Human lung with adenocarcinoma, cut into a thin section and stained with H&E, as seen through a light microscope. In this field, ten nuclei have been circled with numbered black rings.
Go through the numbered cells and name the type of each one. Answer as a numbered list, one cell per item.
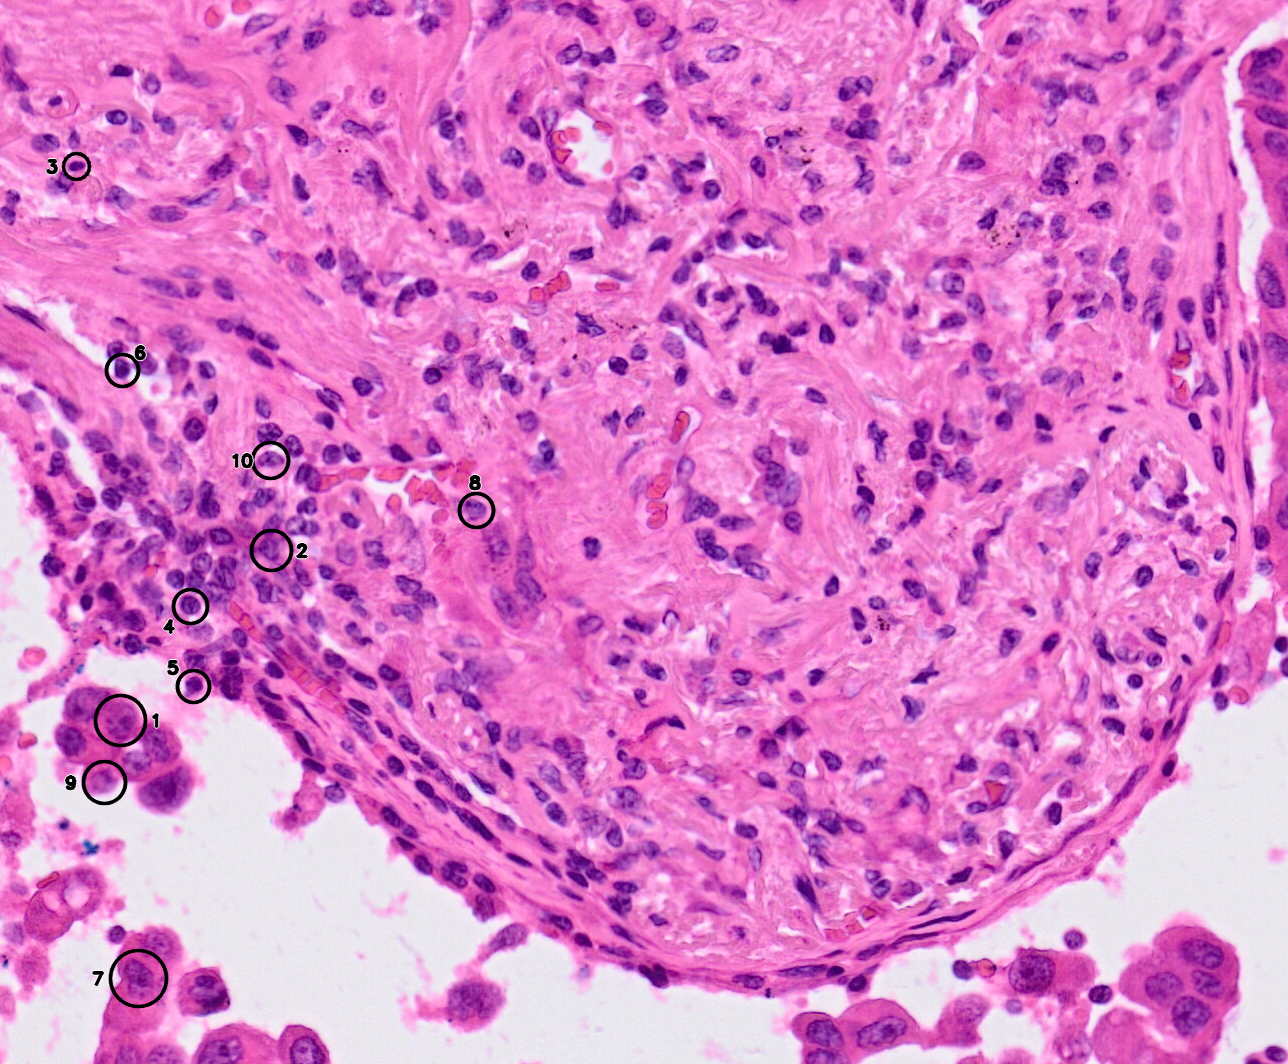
1. carcinoma cell
2. plasma cell
3. lymphocyte
4. lymphocyte
5. lymphocyte
6. lymphocyte
7. carcinoma cell
8. lymphocyte
9. carcinoma cell
10. lymphocyte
